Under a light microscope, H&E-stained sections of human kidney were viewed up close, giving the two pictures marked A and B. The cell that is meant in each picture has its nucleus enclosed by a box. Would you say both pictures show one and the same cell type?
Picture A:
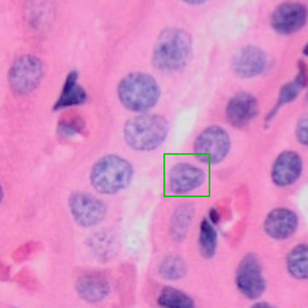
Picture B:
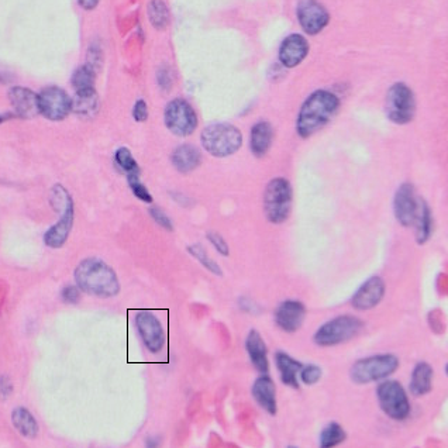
yes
